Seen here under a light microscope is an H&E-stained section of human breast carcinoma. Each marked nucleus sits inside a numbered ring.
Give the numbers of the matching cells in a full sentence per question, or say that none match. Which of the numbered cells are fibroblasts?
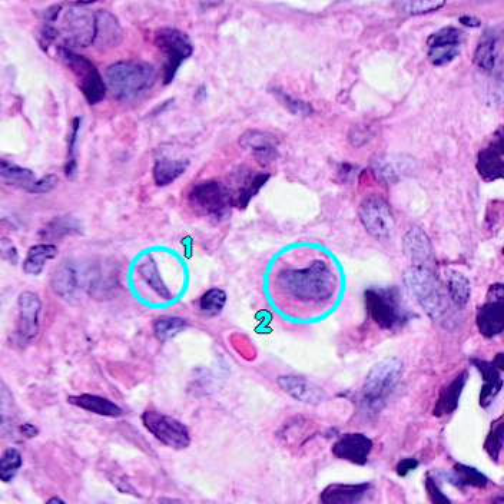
Among the marked cells, a fibroblast is found only at number 1.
